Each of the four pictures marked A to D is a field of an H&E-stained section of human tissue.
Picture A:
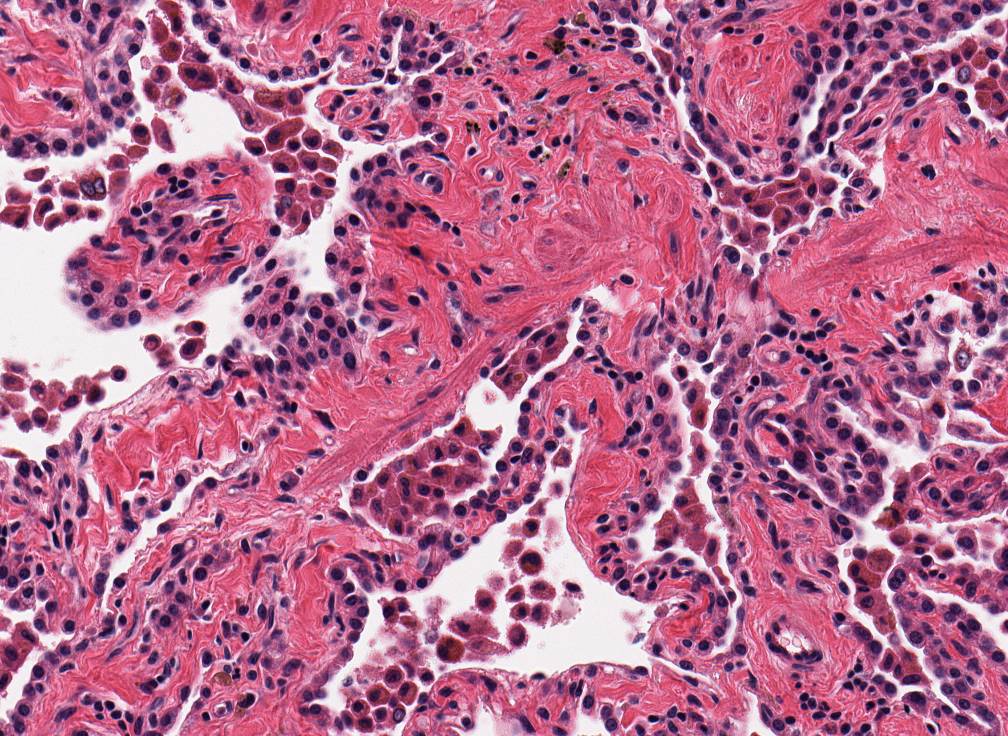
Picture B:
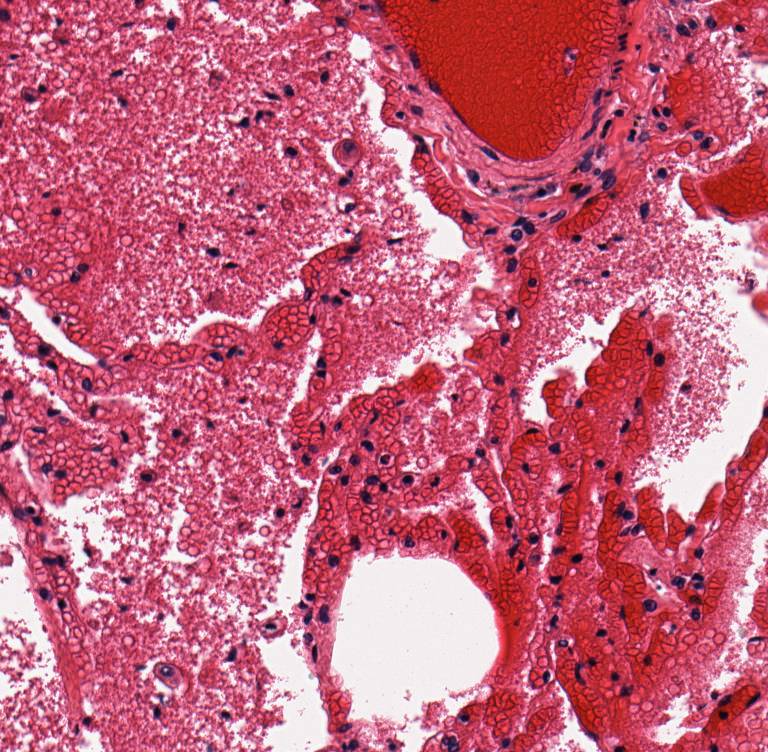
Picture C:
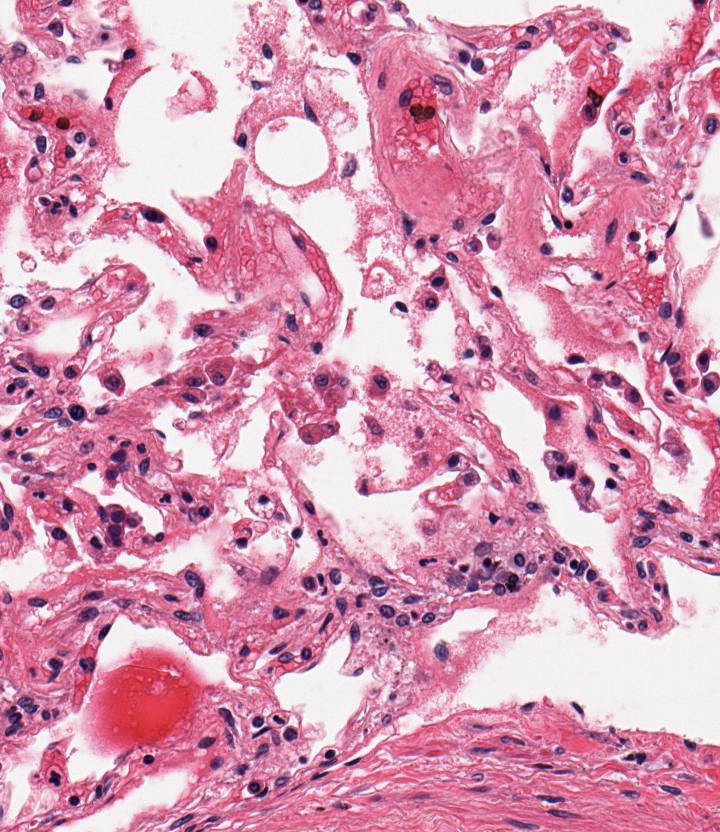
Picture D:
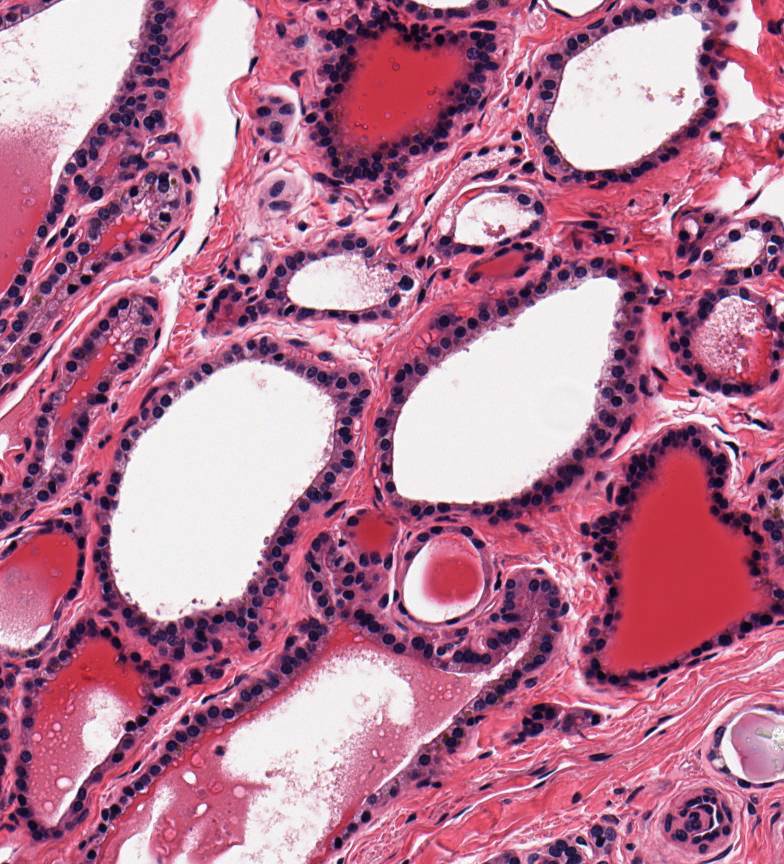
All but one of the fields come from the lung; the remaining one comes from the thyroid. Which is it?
D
